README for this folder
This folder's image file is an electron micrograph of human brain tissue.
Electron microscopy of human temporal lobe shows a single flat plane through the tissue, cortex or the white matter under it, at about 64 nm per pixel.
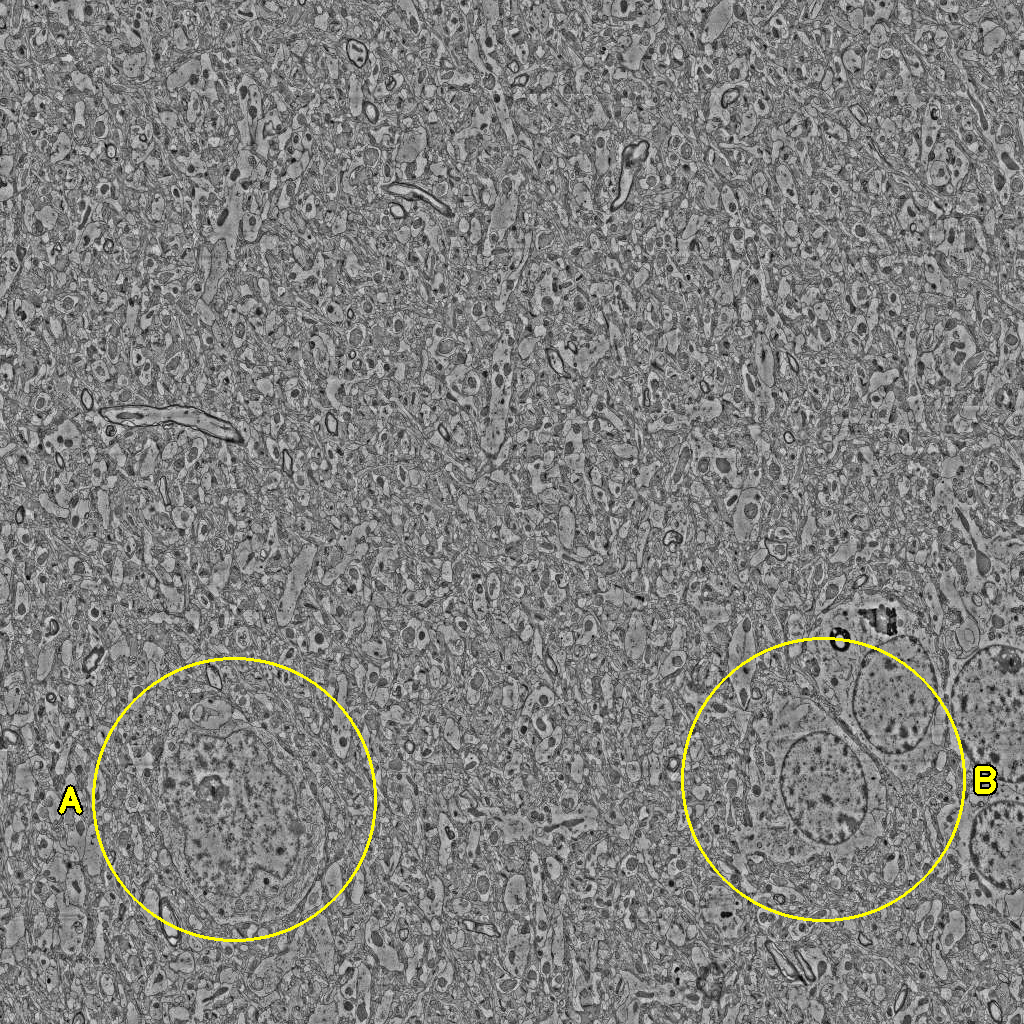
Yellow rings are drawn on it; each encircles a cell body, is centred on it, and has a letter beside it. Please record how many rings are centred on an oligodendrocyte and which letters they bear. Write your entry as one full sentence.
Looking across all the lettered rings, none is centred on an oligodendrocyte, so the count is zero.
